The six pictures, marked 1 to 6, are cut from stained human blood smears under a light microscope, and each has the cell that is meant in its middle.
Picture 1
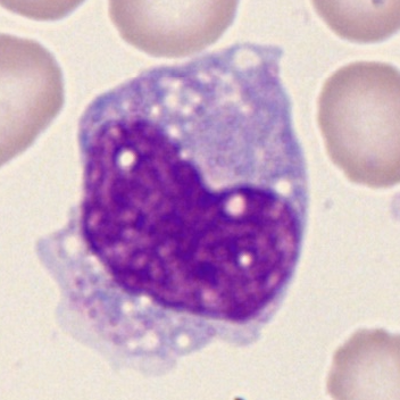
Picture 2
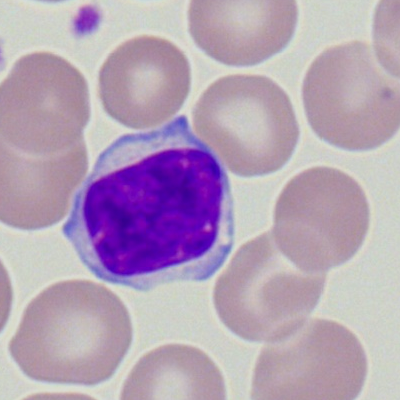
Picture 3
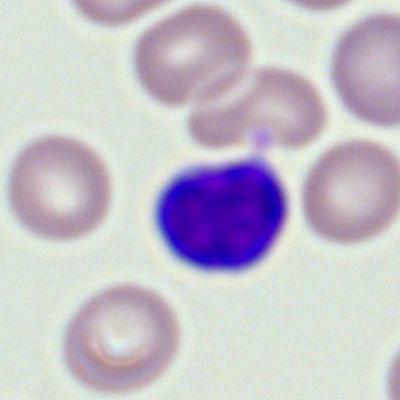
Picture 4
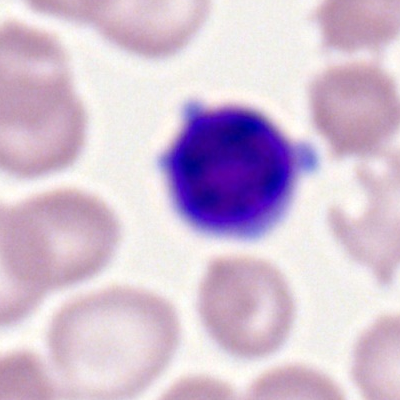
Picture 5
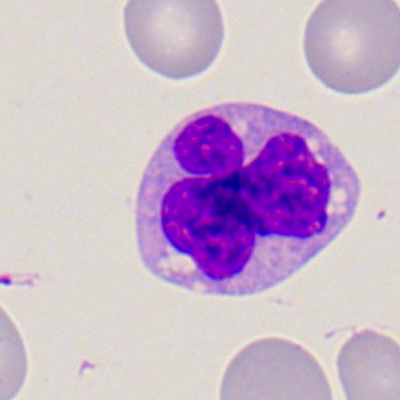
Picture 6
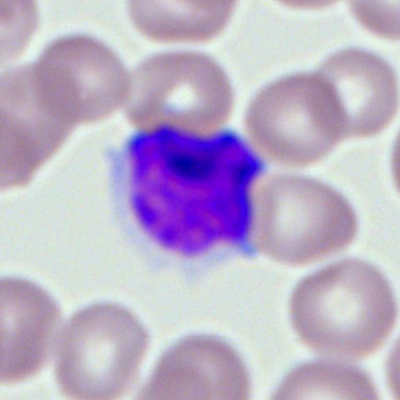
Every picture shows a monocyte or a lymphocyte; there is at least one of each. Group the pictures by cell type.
1: monocyte
2: lymphocyte
3: lymphocyte
4: lymphocyte
5: monocyte
6: lymphocyte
